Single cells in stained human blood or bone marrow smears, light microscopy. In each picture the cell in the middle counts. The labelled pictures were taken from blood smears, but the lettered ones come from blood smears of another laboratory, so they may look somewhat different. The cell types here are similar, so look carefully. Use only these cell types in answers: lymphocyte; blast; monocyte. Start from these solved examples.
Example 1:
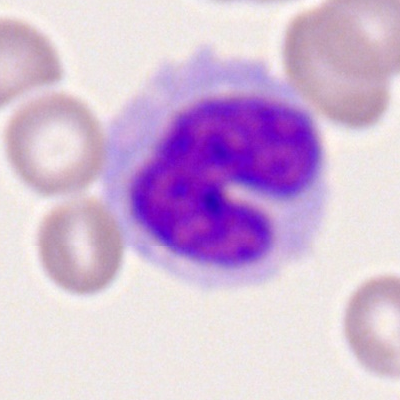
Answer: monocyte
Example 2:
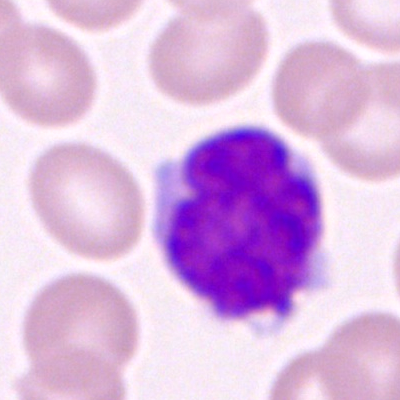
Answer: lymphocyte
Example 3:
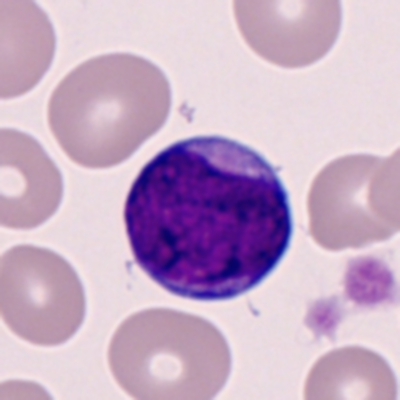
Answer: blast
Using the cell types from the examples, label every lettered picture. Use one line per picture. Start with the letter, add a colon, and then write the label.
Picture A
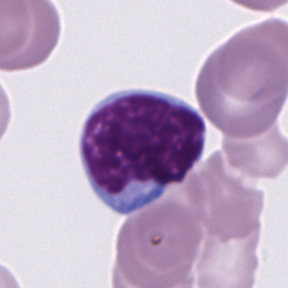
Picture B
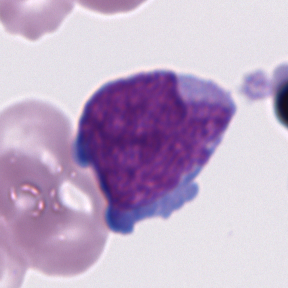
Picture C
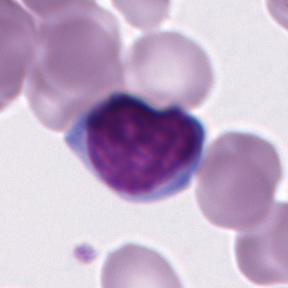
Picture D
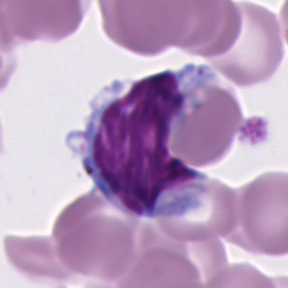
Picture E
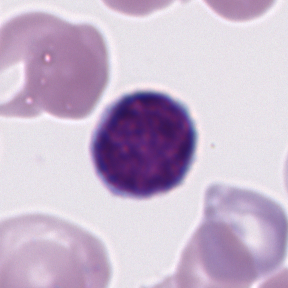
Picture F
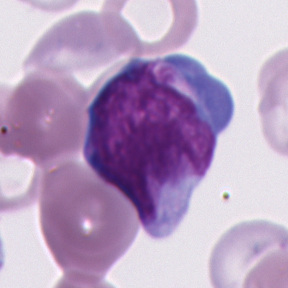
A: lymphocyte
B: blast
C: lymphocyte
D: lymphocyte
E: lymphocyte
F: blast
